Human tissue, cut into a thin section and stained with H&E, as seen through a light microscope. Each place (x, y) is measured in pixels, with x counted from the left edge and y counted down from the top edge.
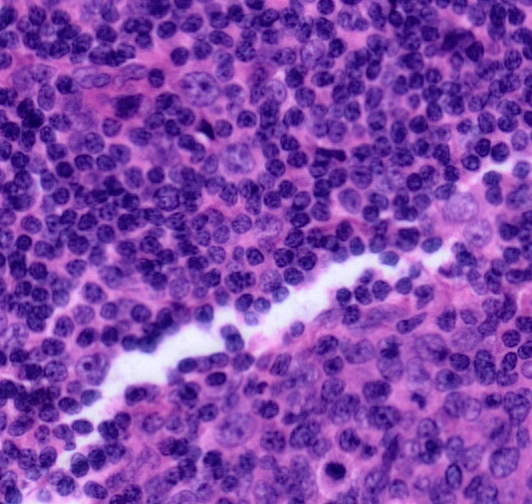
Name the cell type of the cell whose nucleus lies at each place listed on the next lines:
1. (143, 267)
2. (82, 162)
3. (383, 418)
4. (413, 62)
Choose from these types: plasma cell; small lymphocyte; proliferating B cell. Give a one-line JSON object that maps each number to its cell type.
{"1": "small lymphocyte", "2": "small lymphocyte", "3": "proliferating B cell", "4": "small lymphocyte"}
